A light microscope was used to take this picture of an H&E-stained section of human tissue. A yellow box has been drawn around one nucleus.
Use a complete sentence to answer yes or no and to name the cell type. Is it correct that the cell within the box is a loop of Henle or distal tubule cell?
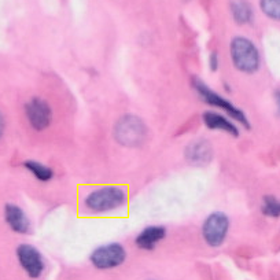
Yes, that the cell within the box is a loop of Henle or distal tubule cell is correct.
